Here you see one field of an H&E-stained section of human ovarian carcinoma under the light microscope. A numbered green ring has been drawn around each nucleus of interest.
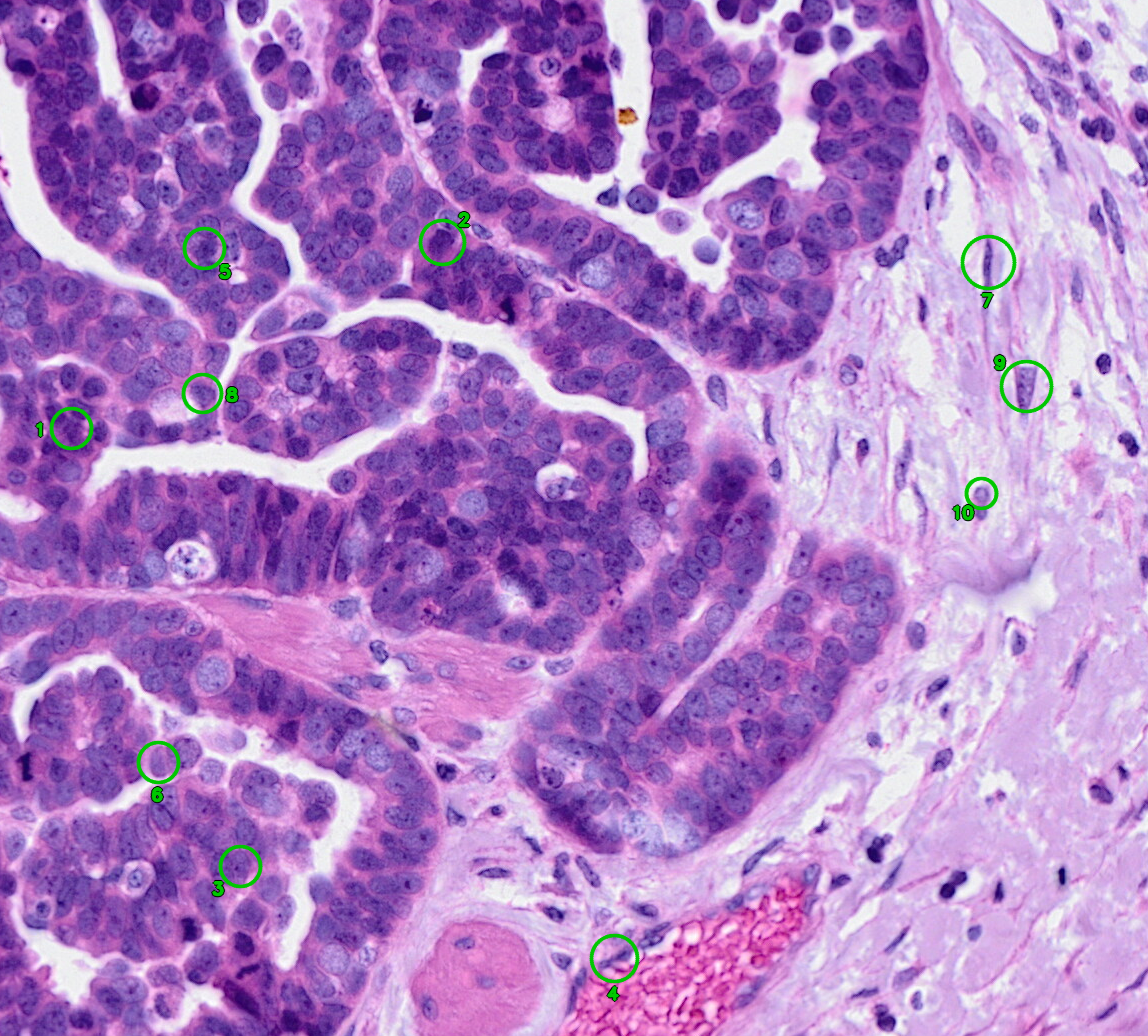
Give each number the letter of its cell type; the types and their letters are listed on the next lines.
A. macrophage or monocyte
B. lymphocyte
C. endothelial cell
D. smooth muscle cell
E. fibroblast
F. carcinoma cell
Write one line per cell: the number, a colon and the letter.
1: F
2: F
3: F
4: C
5: F
6: F
7: E
8: F
9: E
10: A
